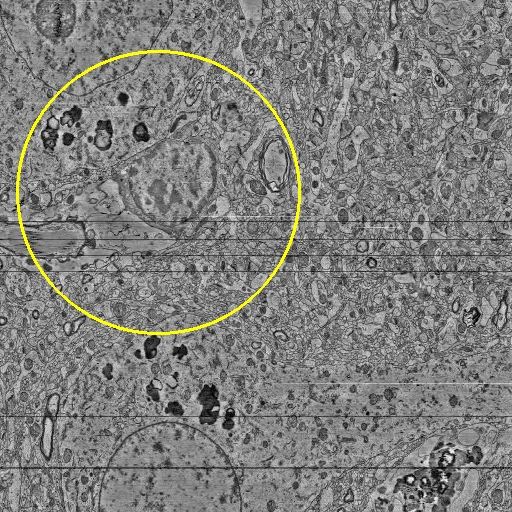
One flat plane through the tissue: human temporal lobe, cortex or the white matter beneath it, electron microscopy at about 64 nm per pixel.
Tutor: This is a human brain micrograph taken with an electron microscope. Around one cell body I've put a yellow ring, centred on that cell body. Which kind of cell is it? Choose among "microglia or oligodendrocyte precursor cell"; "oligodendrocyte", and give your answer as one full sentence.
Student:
Going by your list, the cell centred in the yellow ring is an oligodendrocyte.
